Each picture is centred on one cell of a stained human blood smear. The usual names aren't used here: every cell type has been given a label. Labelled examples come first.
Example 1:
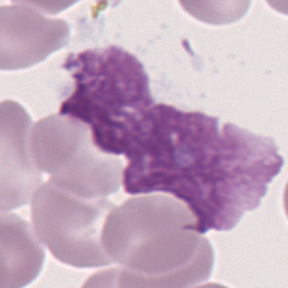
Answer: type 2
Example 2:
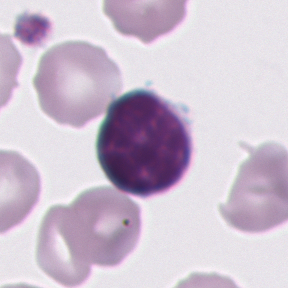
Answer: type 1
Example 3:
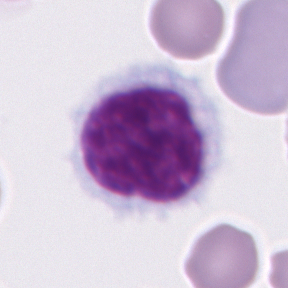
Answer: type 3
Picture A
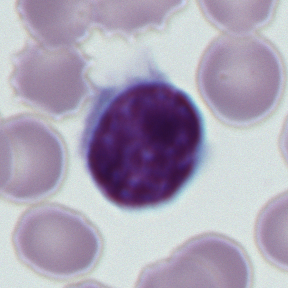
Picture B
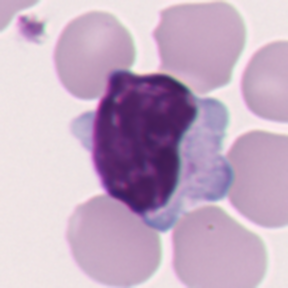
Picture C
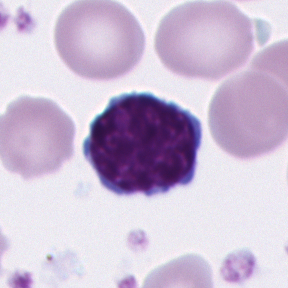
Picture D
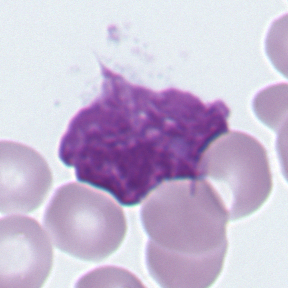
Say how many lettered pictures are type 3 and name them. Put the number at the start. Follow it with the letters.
0, none of them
